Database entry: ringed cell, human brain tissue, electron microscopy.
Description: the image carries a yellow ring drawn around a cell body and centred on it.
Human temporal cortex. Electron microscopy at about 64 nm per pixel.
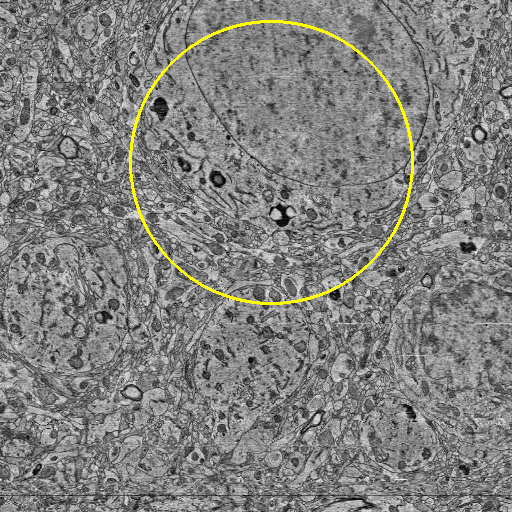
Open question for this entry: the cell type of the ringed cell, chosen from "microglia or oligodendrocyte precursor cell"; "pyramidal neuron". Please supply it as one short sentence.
The ringed cell is a pyramidal neuron.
